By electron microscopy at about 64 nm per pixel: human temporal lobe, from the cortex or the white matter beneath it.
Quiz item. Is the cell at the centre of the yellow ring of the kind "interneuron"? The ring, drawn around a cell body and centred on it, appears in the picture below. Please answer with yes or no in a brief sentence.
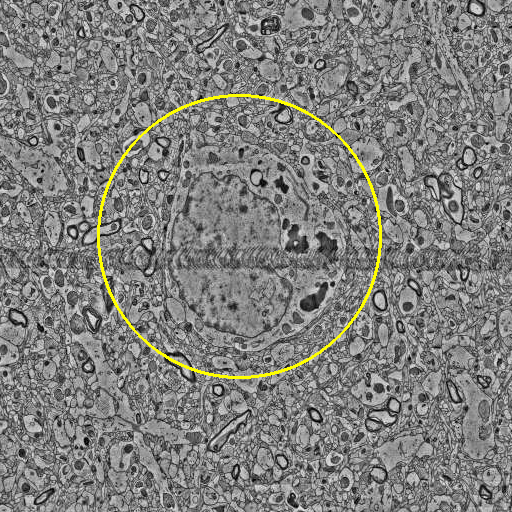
Yes, it is that kind of cell.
